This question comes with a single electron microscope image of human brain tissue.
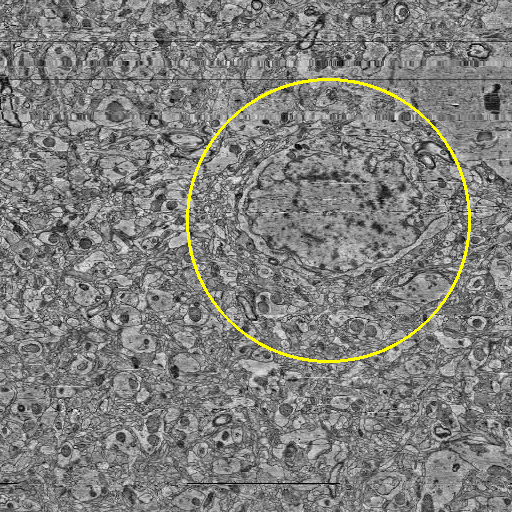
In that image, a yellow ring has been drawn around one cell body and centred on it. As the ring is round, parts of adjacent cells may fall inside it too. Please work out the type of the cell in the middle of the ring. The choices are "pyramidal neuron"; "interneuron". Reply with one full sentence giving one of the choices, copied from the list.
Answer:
Of the choices, an interneuron is the cell sitting in the middle of the ring.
